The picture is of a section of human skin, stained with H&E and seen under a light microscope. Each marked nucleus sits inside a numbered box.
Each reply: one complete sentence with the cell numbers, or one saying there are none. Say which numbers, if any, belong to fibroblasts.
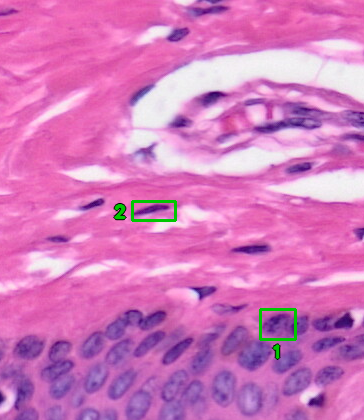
Only the cell numbered 2 is a fibroblast; none of the others is.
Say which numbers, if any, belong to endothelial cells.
All of the numbered cells are cells other than endothelial cells.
